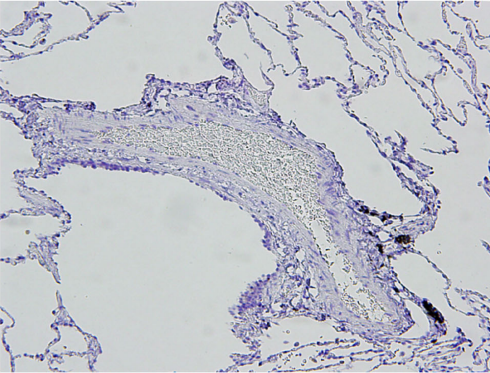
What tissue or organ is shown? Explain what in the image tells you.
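Thin-walled air spaces surround a central vessel. Alveolar septa are delicate and only a few cells thick.
Conclusion: normal lung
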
